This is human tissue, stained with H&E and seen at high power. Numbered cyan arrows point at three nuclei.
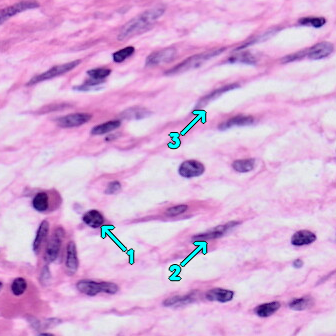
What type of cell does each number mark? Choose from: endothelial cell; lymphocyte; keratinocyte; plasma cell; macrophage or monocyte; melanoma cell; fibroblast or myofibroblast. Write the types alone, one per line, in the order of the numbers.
plasma cell
fibroblast or myofibroblast
fibroblast or myofibroblast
